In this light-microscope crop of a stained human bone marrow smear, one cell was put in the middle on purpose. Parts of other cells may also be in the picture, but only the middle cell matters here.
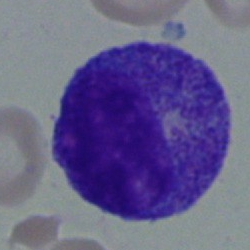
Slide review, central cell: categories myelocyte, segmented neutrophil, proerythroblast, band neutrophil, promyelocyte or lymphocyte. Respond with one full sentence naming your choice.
For this crop, the central cell is a promyelocyte.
